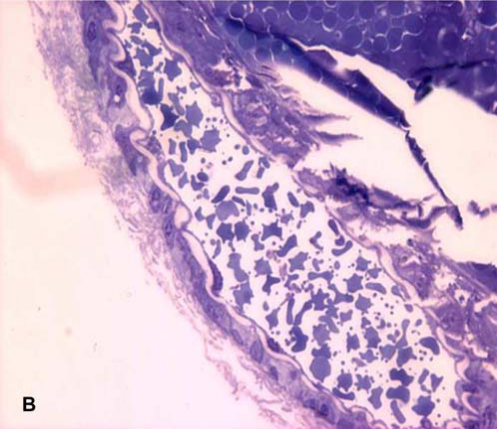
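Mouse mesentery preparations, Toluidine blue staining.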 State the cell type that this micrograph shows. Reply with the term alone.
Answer: Erythrocytes.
